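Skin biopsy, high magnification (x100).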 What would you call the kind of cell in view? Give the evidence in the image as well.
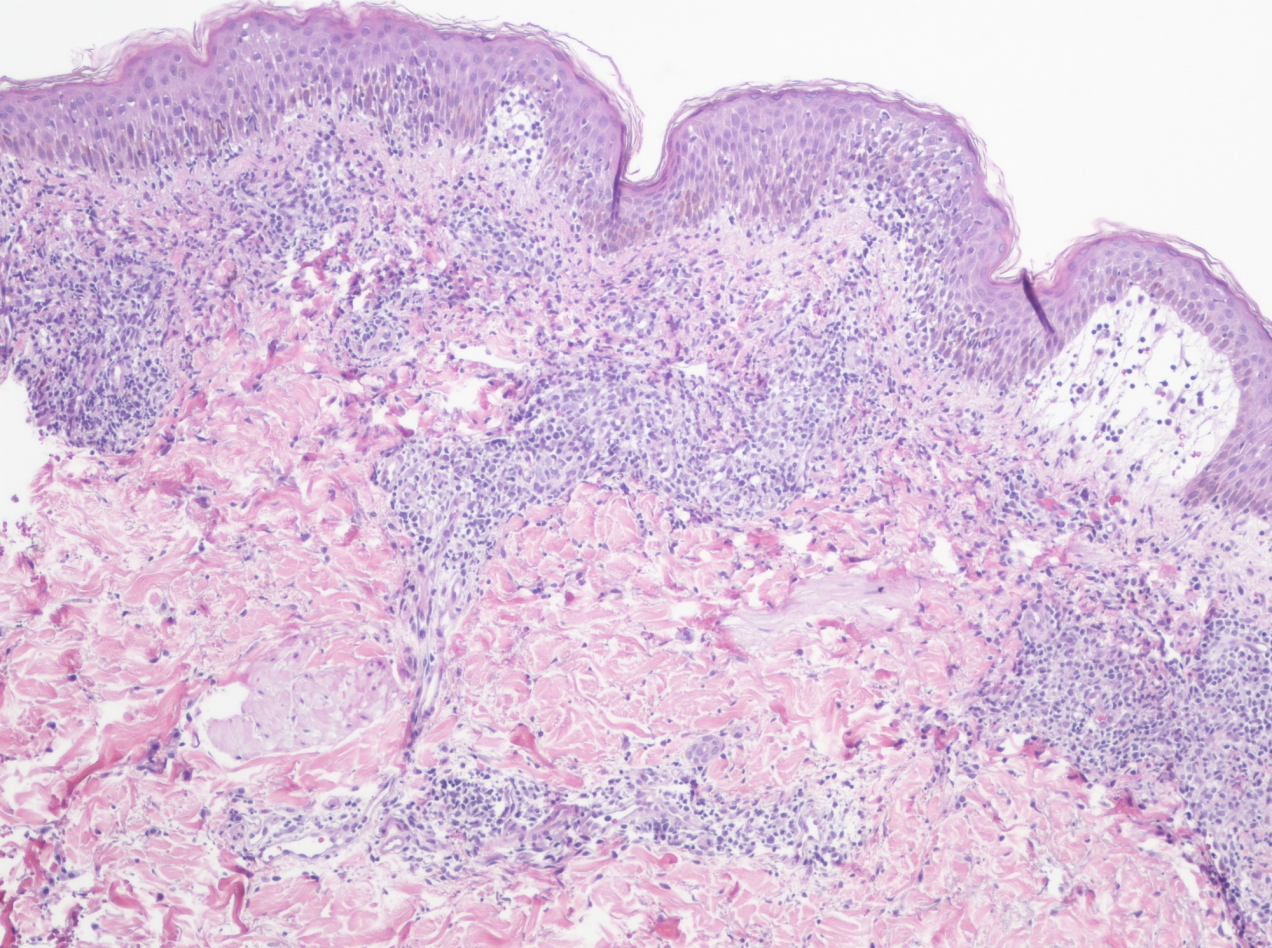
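Most infiltrating cells are small, with round, dark, dense nuclei and scant cytoplasm. So: lymphocytes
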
